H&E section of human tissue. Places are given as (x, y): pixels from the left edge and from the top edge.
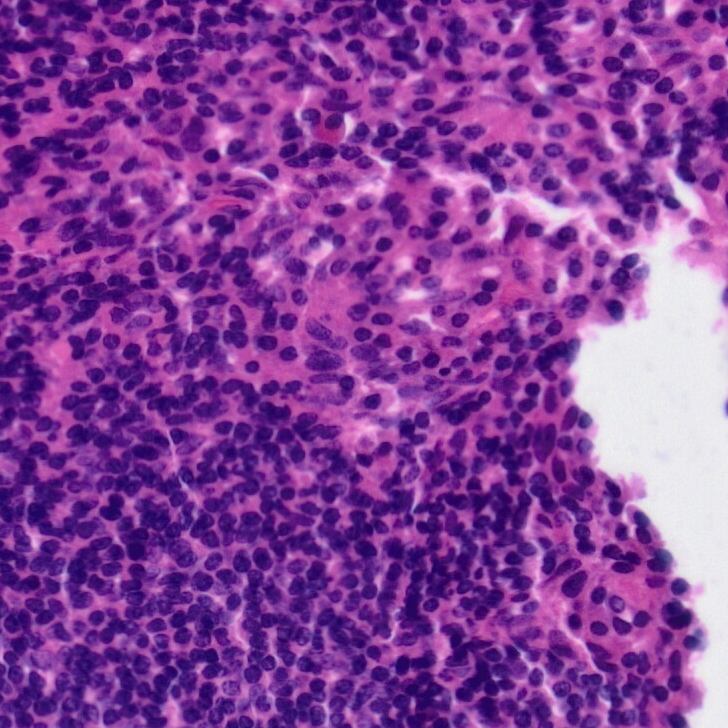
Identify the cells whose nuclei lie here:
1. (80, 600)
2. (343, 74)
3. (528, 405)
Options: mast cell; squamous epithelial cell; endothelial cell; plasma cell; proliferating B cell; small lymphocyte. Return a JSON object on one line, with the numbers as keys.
{"1": "small lymphocyte", "2": "plasma cell", "3": "small lymphocyte"}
